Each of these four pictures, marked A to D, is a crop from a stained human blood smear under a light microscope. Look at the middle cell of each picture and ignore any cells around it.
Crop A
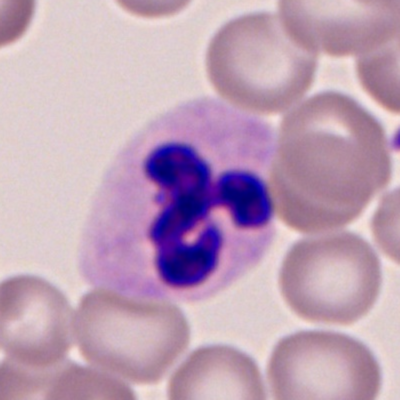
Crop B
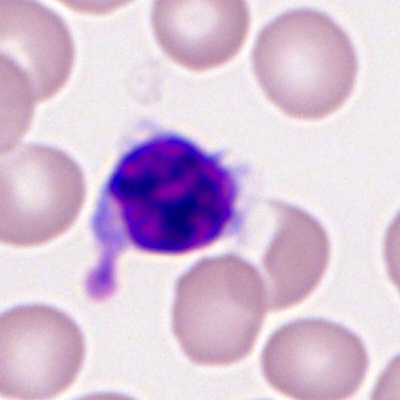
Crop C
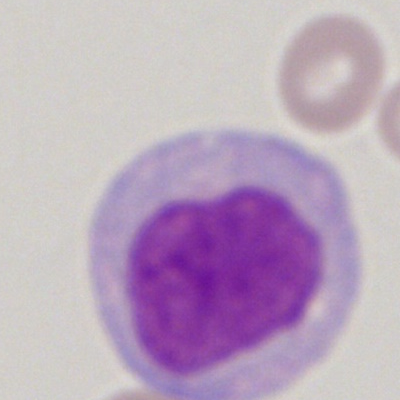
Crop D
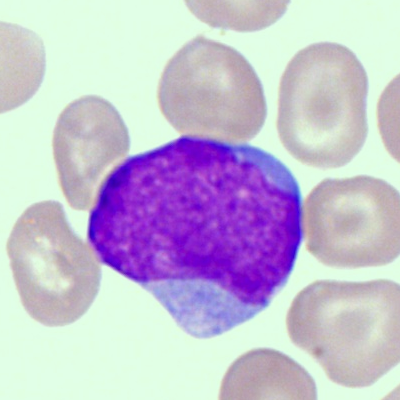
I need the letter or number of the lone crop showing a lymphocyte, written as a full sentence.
Crop B is where a lymphocyte is to be found.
